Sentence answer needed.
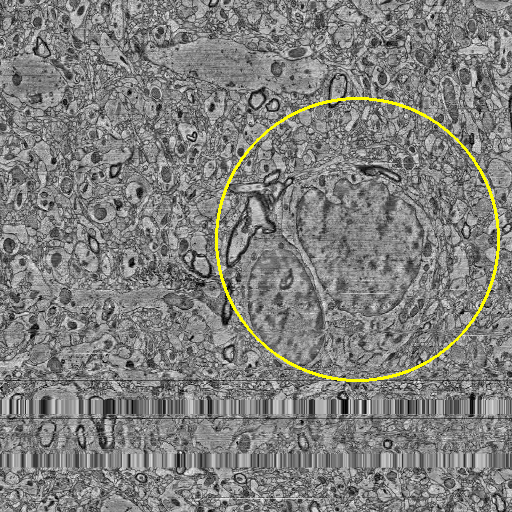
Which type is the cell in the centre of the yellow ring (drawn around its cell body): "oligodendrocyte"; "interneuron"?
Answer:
In the centre of the yellow ring is an interneuron.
